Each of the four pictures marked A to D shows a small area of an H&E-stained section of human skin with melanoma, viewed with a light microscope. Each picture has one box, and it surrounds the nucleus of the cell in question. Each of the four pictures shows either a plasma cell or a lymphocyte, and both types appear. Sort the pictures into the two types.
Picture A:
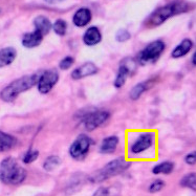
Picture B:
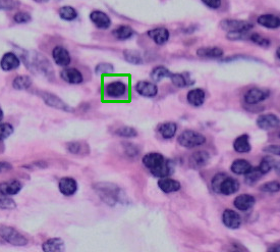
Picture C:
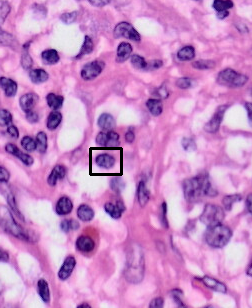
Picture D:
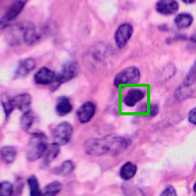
A: lymphocyte
B: plasma cell
C: lymphocyte
D: lymphocyte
